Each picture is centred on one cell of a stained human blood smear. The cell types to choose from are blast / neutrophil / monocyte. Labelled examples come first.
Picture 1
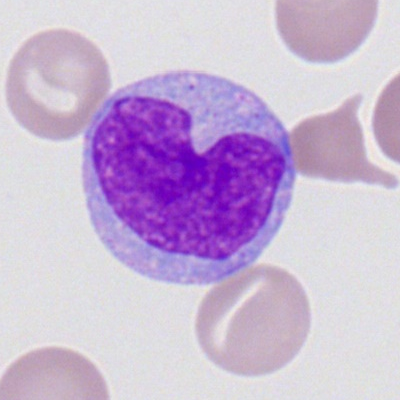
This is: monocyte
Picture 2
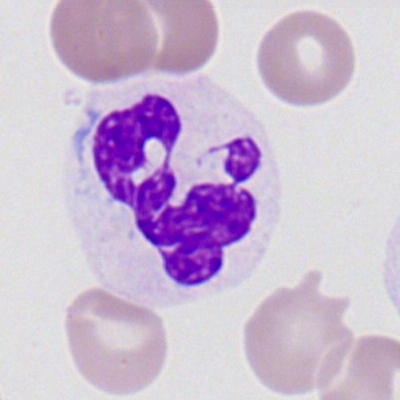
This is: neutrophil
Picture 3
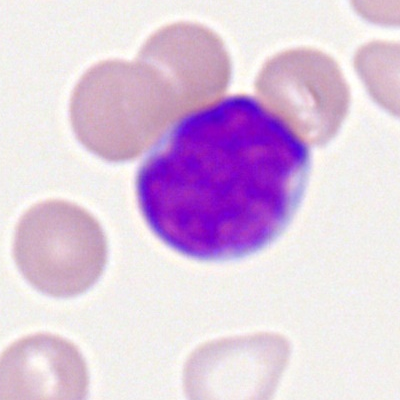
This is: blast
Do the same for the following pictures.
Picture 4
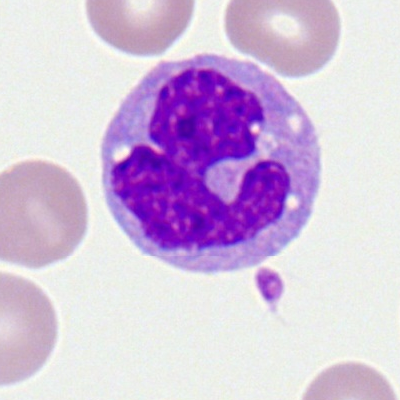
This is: monocyte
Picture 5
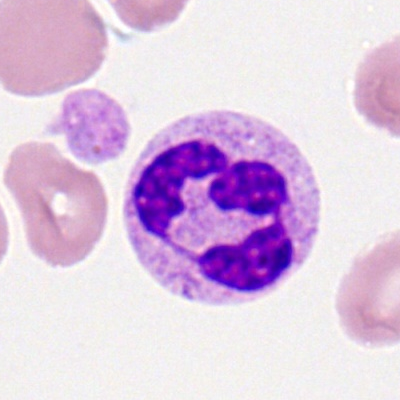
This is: neutrophil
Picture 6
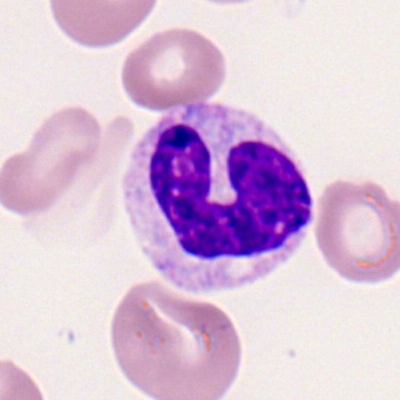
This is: neutrophil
